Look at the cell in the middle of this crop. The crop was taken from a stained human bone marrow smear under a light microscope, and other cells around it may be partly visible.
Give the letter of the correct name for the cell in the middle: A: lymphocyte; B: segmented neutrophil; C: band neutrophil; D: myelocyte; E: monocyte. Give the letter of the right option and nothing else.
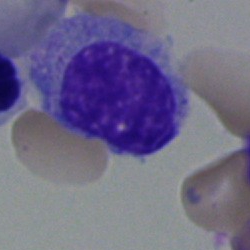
D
